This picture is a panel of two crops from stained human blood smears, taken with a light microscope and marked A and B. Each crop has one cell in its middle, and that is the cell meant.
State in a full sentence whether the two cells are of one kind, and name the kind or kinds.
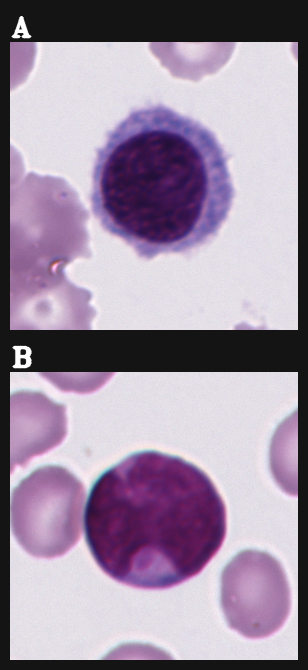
No, a myeloblast is depicted in crop B, whereas a hairy cell is depicted in crop A.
